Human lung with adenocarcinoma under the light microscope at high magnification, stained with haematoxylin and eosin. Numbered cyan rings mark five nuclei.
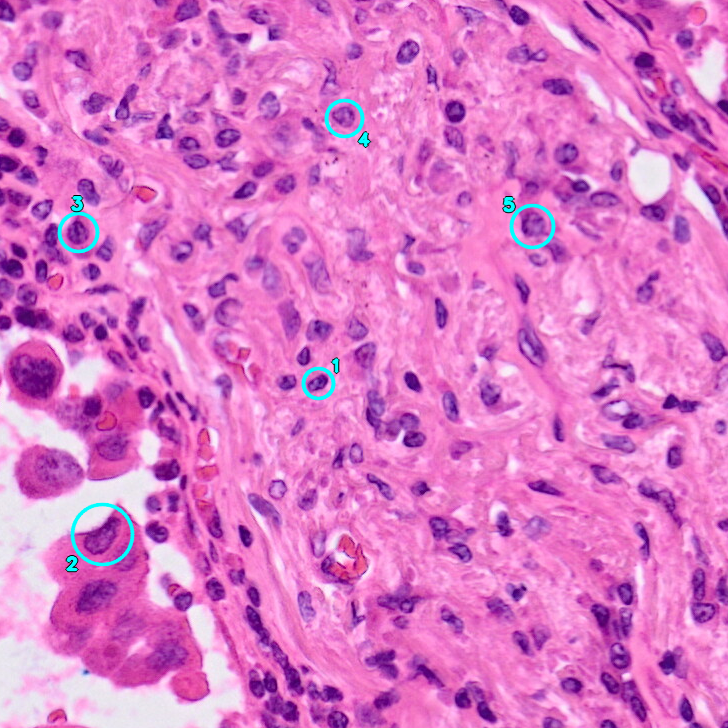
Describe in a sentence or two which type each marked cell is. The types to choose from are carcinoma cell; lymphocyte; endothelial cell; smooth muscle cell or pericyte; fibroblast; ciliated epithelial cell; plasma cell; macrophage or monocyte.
Cell 1 is a lymphocyte. Cell 2 is a carcinoma cell. Cells 3, 4 and 5 are plasma cells.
